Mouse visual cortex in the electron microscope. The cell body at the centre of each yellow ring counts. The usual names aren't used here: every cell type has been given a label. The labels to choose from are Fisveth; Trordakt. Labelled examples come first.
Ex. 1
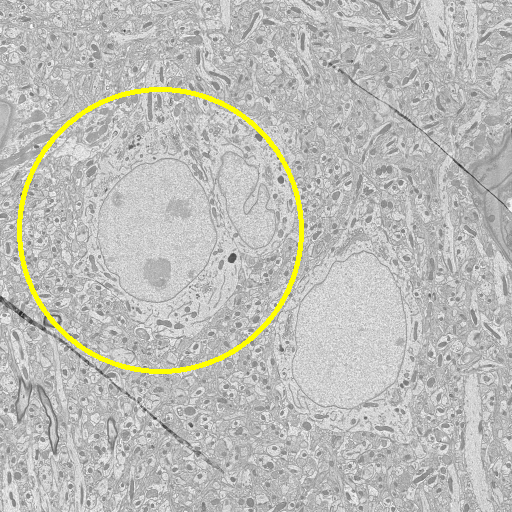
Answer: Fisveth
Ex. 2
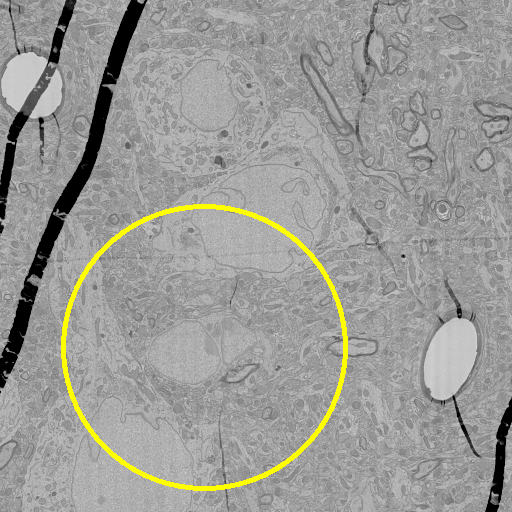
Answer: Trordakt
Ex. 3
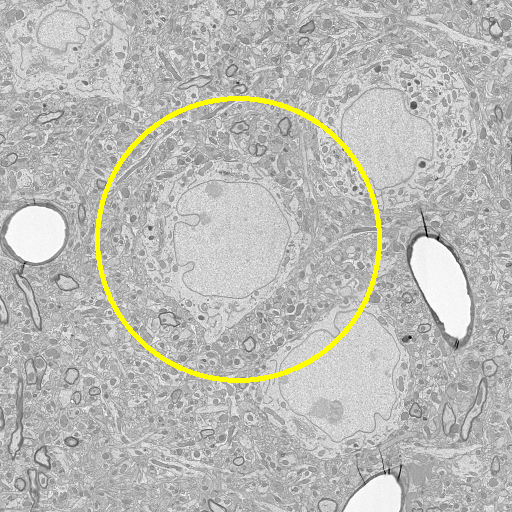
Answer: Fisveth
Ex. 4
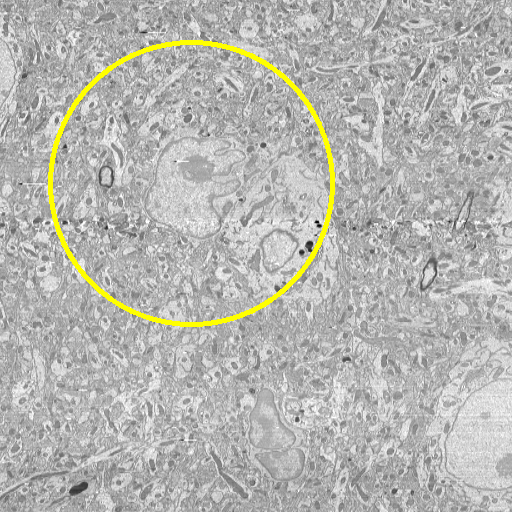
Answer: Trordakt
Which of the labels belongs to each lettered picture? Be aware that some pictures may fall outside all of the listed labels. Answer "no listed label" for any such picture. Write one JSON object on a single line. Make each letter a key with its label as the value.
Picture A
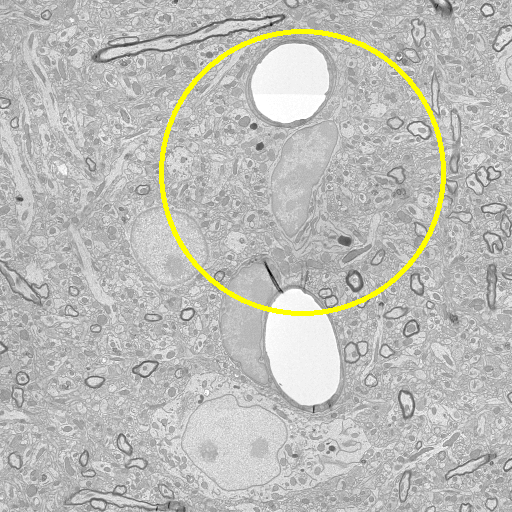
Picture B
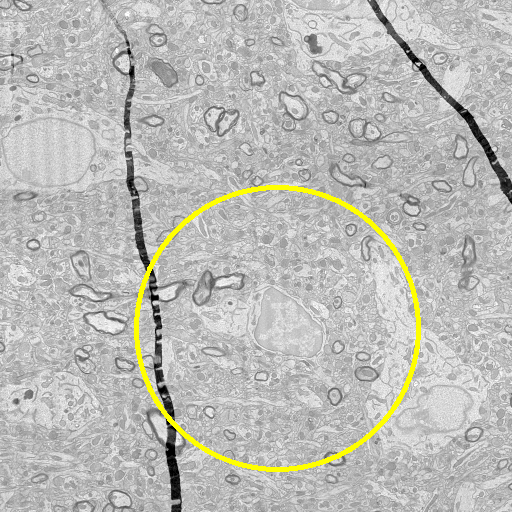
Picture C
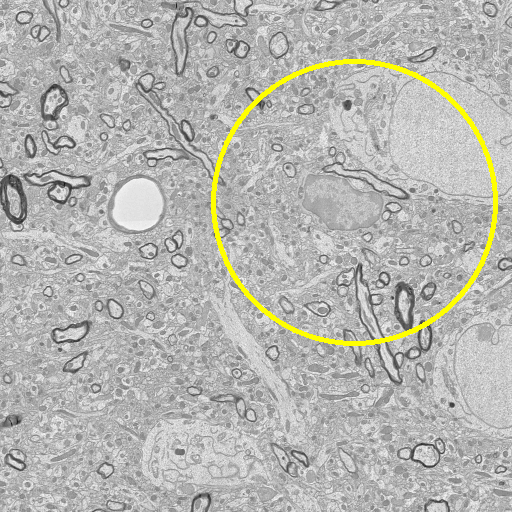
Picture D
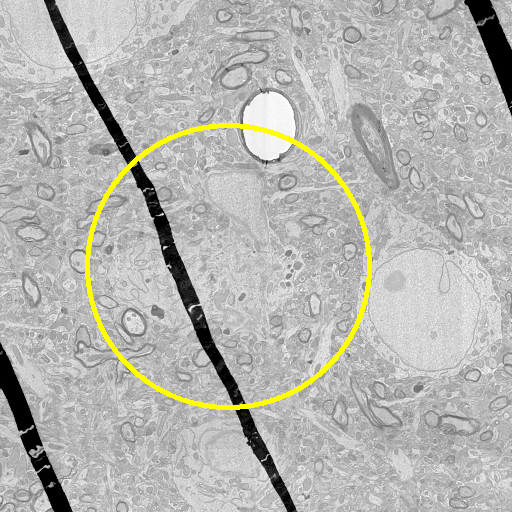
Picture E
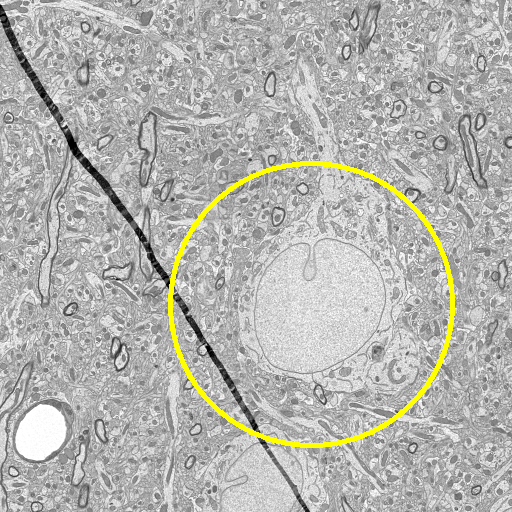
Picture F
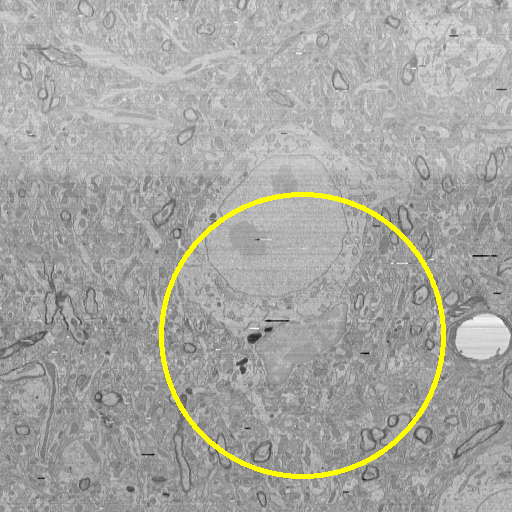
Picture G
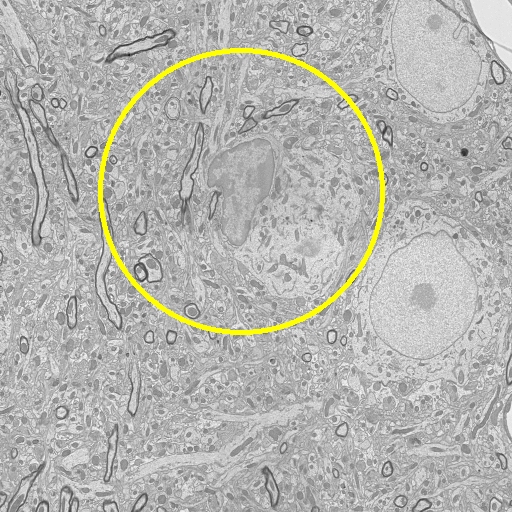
{"A": "no listed label", "B": "no listed label", "C": "no listed label", "D": "Trordakt", "E": "Fisveth", "F": "no listed label", "G": "no listed label"}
